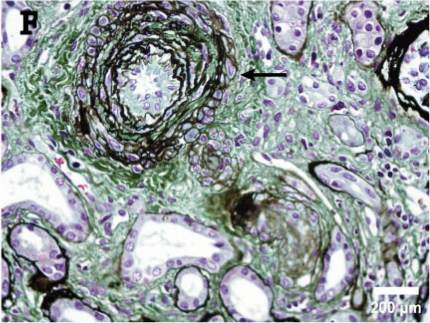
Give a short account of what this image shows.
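Renal cortex with a small artery showing an onion-skin lesion: multiple dark, concentric, closely spaced laminae encircle a narrowed lumen. Elongated nuclei lie between the layers. The lumen is small and lined by plump, swollen cells. A second vessel below also shows a thick, layered wall. Greenish-stained interstitium surrounds the vessels, and tubules with dark-outlined basement membranes and cuboidal epithelium lie around them.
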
